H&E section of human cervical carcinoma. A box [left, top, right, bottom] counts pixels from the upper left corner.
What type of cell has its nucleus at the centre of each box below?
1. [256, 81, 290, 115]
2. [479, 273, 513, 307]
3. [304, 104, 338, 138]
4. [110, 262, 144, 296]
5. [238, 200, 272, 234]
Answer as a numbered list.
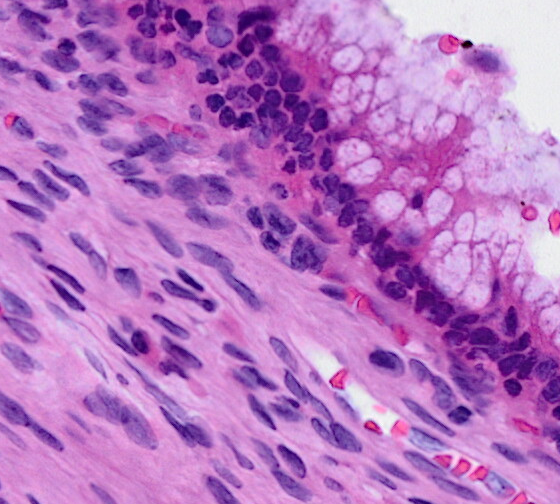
1. secretory epithelial cell
2. secretory epithelial cell
3. secretory epithelial cell
4. fibroblast
5. lymphocyte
